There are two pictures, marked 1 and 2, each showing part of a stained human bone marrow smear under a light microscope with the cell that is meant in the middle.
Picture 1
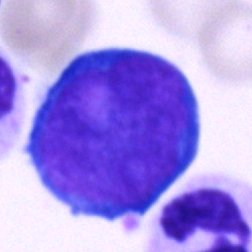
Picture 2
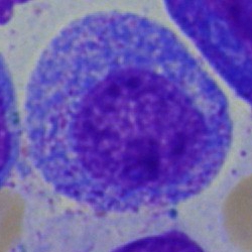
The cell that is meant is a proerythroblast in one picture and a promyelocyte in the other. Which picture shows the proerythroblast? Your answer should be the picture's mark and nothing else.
1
